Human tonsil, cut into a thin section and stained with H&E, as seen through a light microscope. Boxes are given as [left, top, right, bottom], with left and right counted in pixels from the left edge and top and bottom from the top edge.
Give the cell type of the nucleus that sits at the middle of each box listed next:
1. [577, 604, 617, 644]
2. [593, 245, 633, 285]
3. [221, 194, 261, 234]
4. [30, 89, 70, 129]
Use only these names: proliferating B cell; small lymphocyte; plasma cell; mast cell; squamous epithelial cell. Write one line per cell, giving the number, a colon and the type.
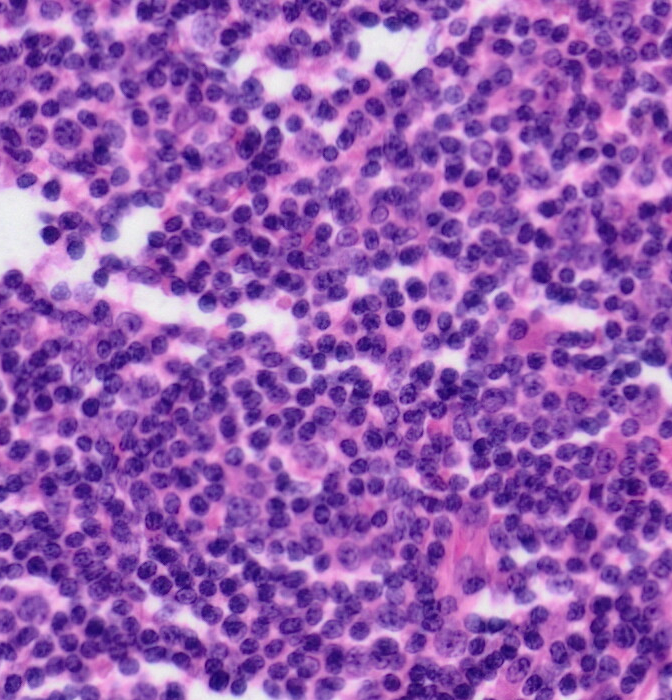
1: small lymphocyte
2: proliferating B cell
3: small lymphocyte
4: small lymphocyte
